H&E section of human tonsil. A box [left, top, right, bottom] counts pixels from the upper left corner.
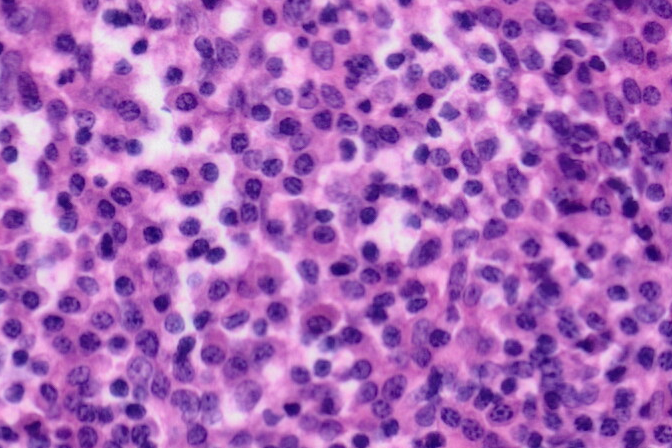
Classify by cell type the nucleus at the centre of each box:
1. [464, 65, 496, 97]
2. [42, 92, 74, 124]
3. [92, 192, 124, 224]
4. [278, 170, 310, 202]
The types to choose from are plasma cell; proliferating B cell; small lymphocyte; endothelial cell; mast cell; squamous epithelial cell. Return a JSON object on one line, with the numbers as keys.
{"1": "plasma cell", "2": "squamous epithelial cell", "3": "plasma cell", "4": "plasma cell"}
